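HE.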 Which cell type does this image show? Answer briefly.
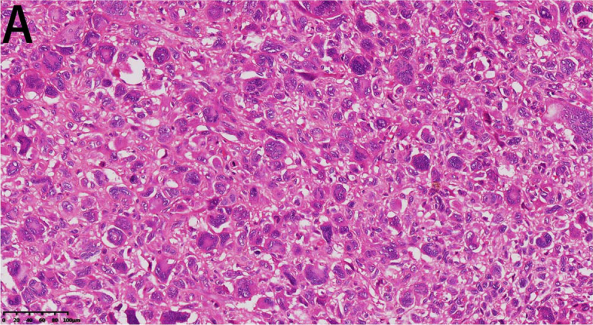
Multinuclear tumor giant cells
